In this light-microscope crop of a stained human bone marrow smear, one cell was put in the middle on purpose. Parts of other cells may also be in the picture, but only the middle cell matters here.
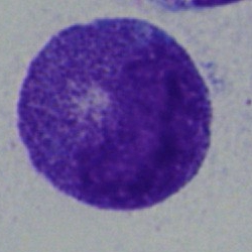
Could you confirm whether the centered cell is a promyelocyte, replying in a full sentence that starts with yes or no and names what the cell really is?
Yes, the cell sitting in the center is a promyelocyte.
